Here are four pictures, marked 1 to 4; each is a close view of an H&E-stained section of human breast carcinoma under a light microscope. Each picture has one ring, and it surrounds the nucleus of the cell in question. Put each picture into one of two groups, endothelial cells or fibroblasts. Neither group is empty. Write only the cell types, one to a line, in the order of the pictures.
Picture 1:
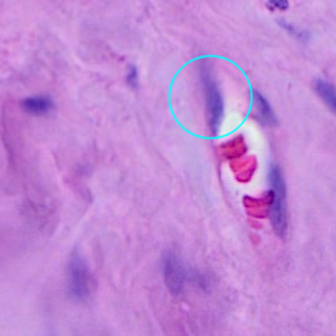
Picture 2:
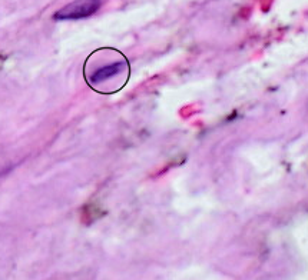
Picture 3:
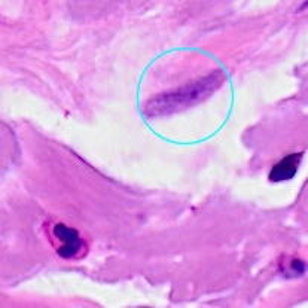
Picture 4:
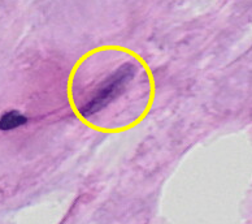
endothelial cell
fibroblast
fibroblast
fibroblast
